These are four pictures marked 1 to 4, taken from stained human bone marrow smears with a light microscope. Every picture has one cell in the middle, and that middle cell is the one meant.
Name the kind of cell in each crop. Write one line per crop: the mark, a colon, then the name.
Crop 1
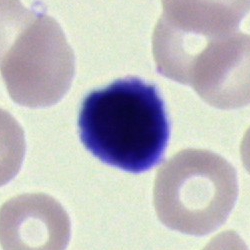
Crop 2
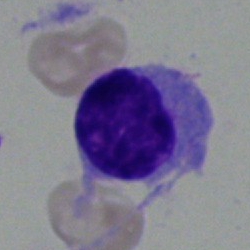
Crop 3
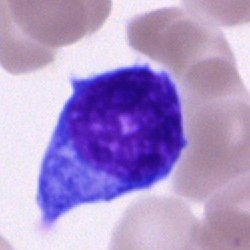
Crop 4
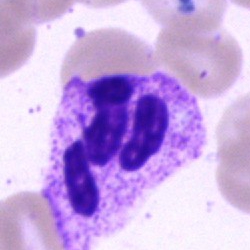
1: lymphocyte
2: hairy cell
3: blast
4: segmented neutrophil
